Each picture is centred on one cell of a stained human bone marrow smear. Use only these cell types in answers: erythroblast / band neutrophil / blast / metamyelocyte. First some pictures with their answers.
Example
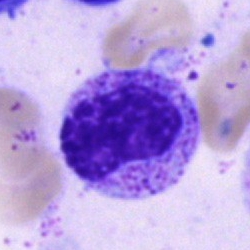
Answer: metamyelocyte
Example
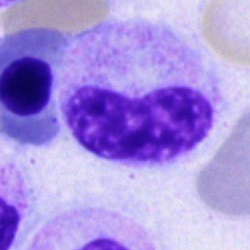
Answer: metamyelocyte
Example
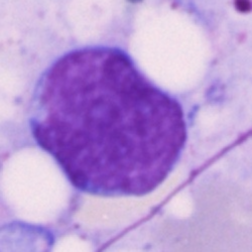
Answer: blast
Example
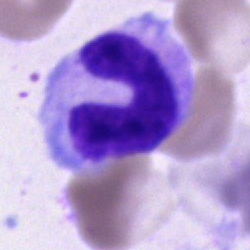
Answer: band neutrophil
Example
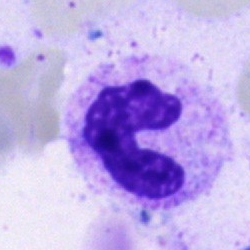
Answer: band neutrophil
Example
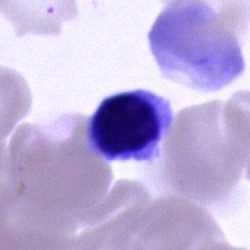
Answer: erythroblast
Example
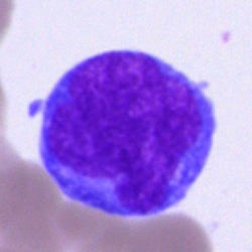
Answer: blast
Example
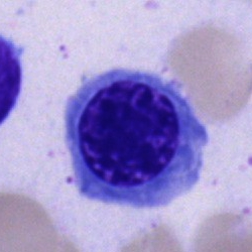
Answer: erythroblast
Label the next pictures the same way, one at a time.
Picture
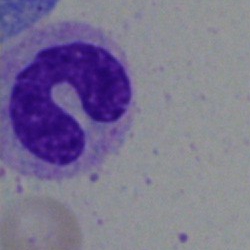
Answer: band neutrophil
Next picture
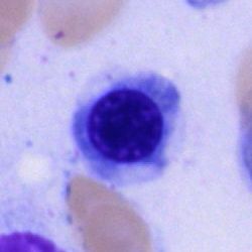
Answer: erythroblast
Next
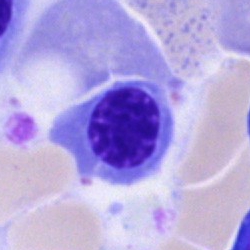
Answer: erythroblast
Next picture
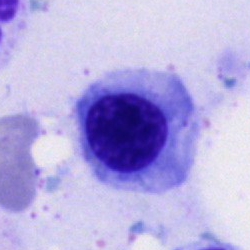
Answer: erythroblast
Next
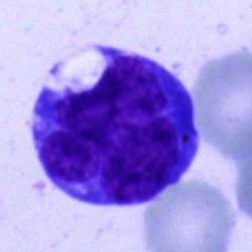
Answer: blast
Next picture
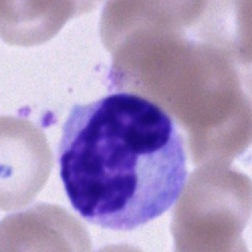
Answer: metamyelocyte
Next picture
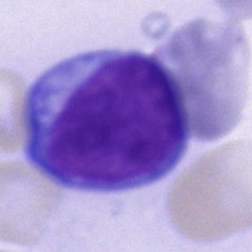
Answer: blast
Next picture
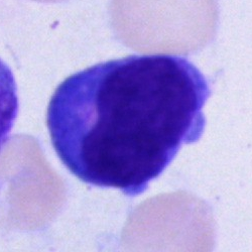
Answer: blast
